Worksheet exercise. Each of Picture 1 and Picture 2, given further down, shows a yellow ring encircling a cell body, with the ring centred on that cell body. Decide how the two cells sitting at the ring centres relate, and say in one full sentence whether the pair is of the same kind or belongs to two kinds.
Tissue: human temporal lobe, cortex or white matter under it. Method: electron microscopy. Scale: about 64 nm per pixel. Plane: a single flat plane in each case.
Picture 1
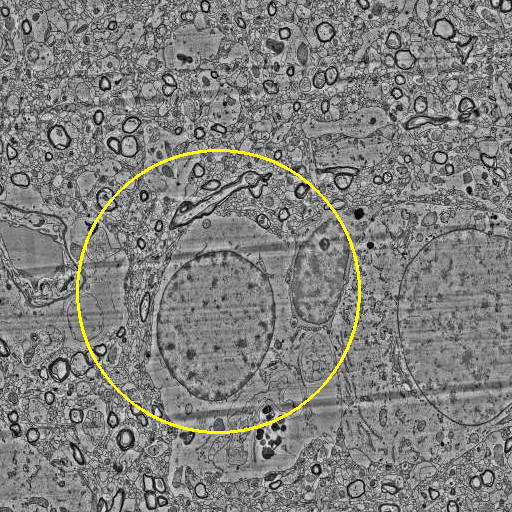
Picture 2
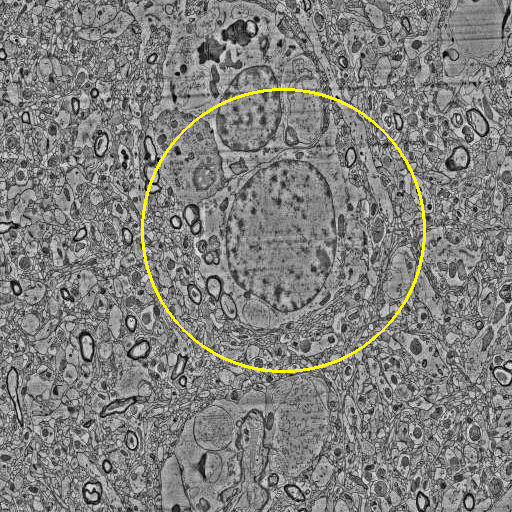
The cells at the ring centres in Picture 1 and Picture 2 are of the same kind.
